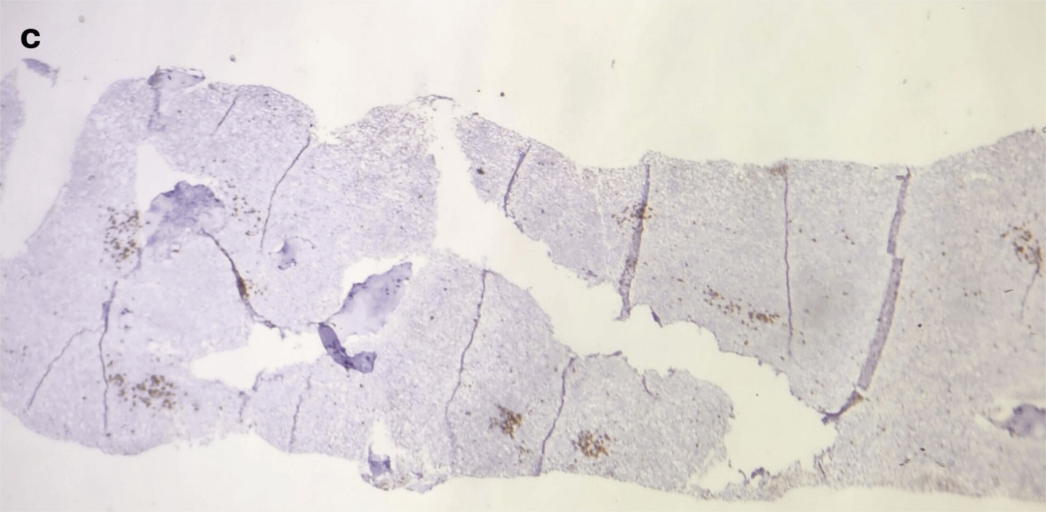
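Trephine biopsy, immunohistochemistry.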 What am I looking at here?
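A long strip of cellular tissue, counterstained pale blue and crossed by thin cracks, is shown at low power. Most of it is unstained, with only small brown-stained cells gathered in a few small, scattered clusters.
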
